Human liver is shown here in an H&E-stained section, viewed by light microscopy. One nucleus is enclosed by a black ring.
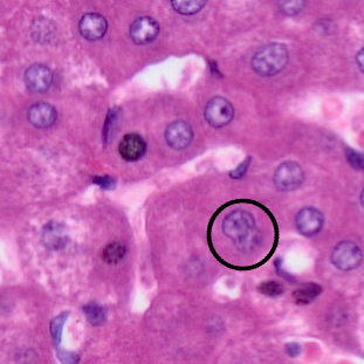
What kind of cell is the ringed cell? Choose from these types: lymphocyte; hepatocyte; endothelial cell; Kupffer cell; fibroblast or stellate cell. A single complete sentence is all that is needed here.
The cell type of the ringed cell is that of a hepatocyte.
